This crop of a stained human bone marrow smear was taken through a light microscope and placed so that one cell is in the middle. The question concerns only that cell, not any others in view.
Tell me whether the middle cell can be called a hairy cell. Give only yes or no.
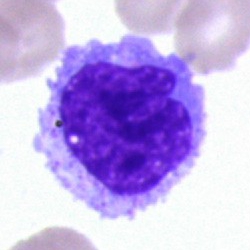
no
